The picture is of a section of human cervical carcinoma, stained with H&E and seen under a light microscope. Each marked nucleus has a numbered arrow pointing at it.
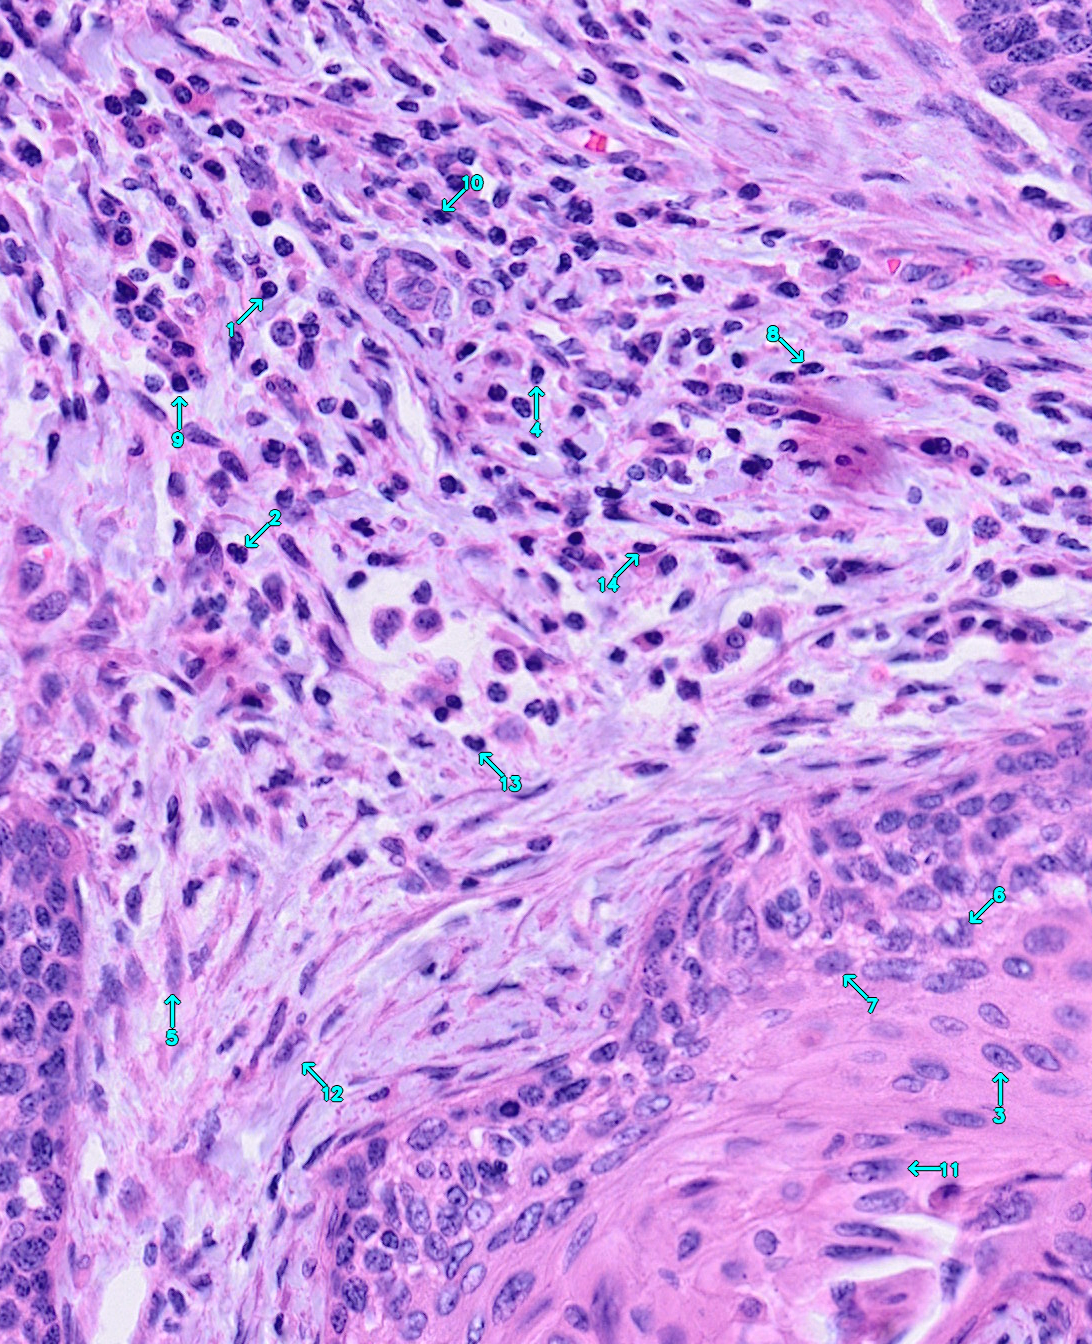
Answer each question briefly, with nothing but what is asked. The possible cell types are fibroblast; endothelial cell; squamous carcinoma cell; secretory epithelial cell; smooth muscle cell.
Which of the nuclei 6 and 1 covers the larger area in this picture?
6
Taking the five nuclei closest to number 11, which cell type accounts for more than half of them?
squamous carcinoma cell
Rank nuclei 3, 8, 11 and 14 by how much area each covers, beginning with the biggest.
11, 3, 8, 14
